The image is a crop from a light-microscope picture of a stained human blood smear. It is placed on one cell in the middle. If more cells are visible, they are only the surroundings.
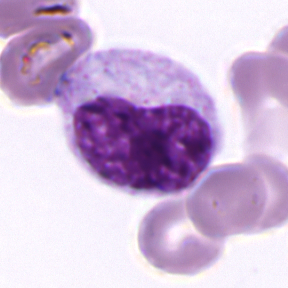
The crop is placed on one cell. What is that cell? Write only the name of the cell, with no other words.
metamyelocyte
